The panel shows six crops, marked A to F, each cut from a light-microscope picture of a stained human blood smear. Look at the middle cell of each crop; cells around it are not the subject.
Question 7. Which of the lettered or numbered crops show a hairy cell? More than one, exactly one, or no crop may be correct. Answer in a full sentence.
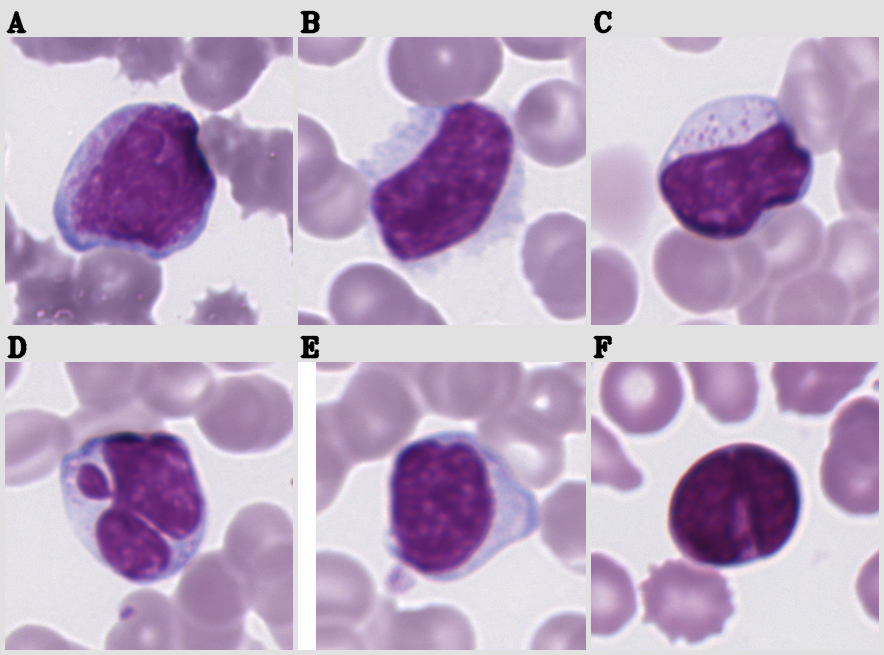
The one crop that shows a hairy cell is crop B.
